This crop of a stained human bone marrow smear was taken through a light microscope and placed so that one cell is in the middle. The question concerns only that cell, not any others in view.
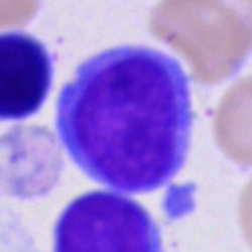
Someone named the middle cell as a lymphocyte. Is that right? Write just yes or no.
no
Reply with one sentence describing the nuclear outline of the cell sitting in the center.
Its nucleus is compact and single, with a round, oval or kidney-shaped form.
